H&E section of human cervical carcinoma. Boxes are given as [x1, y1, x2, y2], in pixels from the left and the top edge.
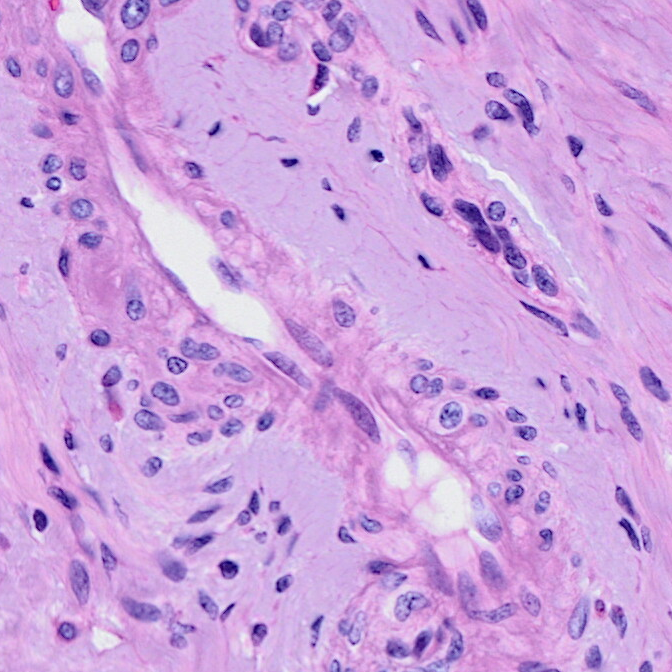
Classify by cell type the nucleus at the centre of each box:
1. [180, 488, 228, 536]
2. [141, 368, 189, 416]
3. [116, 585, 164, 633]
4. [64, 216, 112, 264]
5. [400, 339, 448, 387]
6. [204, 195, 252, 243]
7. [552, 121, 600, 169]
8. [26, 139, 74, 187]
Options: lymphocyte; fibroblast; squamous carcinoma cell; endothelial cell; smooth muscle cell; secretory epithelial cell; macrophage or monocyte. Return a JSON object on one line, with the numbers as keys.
{"1": "fibroblast", "2": "smooth muscle cell", "3": "fibroblast", "4": "smooth muscle cell", "5": "smooth muscle cell", "6": "smooth muscle cell", "7": "fibroblast", "8": "smooth muscle cell"}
